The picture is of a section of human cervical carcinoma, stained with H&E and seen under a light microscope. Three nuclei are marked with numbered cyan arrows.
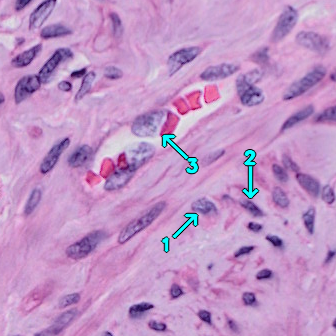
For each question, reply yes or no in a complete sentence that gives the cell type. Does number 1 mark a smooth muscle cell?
Yes, in this section the cell numbered 1 is a smooth muscle cell.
